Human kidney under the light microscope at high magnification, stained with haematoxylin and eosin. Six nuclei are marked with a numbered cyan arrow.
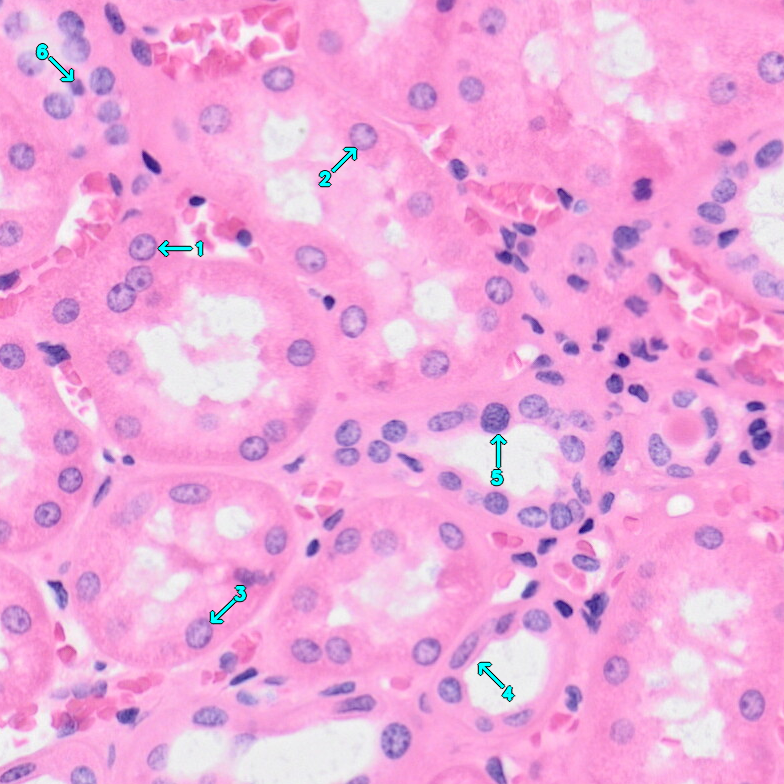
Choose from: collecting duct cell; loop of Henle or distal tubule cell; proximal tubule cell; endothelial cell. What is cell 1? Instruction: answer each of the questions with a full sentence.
The cell that bears the number 1 is a proximal tubule cell.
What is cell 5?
The cell tagged with 5 in this tissue section is a collecting duct cell.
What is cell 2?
The one labeled 2 is a proximal tubule cell, to put it simply.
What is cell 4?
Classified as a collecting duct cell is the cell with the number 4.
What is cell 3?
The correct answer for cell 3 is a proximal tubule cell.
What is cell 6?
The nucleus labelled 6 belongs to a loop of Henle or distal tubule cell.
